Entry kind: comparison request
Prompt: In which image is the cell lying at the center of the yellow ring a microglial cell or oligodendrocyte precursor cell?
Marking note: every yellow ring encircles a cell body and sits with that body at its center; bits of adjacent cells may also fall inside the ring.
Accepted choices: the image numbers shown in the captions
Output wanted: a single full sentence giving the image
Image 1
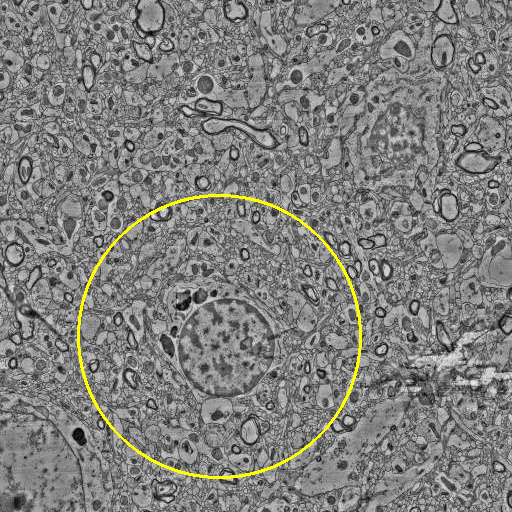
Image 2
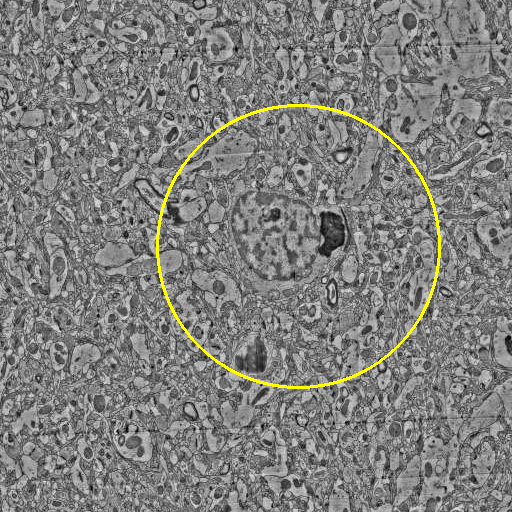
In image 1, the ringed cell at the center matches the prompt.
